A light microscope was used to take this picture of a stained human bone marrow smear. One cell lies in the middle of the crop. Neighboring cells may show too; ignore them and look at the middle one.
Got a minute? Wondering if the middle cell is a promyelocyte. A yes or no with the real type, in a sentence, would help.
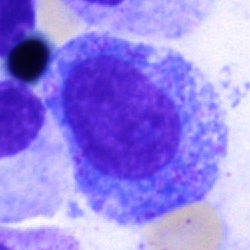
Yes, a promyelocyte occupies the middle of the crop.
